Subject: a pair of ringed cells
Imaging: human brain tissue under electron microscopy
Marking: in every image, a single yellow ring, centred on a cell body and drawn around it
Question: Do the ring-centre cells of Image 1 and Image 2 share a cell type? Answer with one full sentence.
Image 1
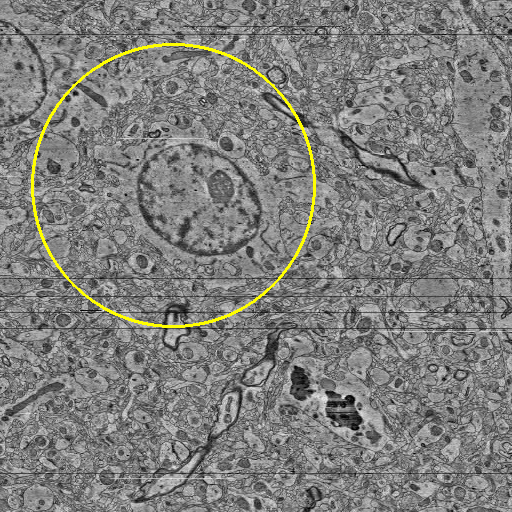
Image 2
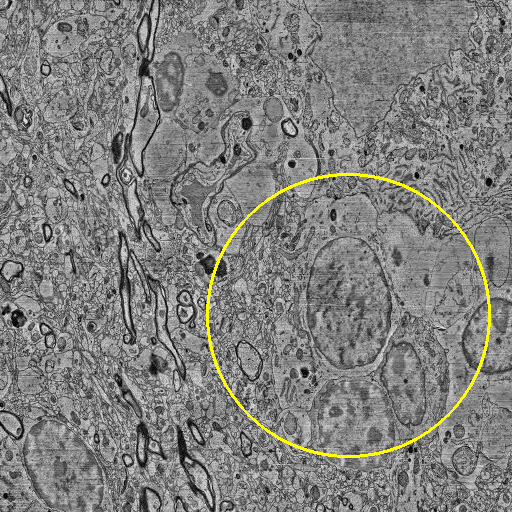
No, at the ring centres in the images sit cells of two separate types.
